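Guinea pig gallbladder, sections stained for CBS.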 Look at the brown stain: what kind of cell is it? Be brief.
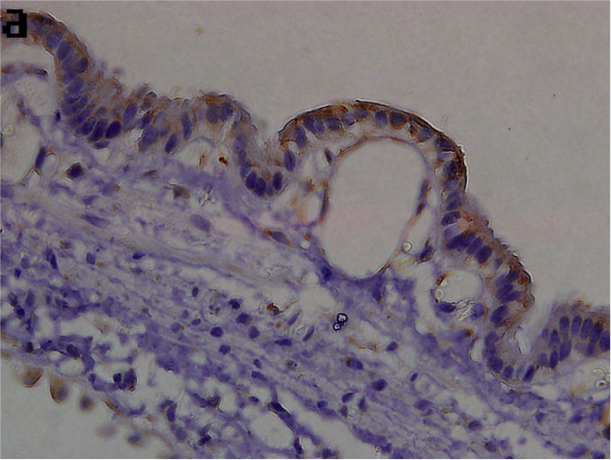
Mucosal epithelial cells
